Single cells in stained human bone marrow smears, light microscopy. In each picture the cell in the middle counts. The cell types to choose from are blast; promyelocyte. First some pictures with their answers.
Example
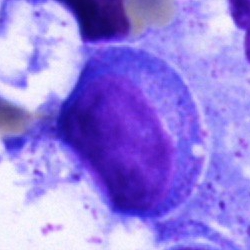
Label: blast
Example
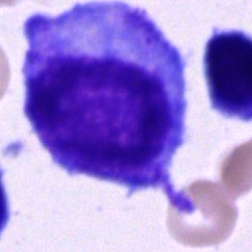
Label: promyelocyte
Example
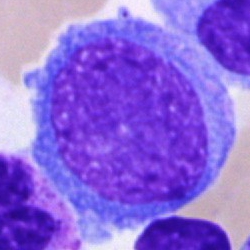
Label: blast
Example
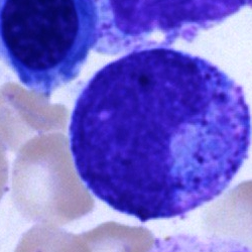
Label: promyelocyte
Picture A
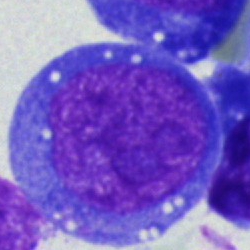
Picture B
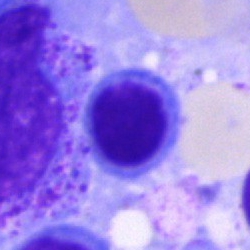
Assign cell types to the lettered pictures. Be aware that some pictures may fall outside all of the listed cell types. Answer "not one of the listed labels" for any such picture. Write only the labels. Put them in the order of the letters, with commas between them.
blast, not one of the listed labels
